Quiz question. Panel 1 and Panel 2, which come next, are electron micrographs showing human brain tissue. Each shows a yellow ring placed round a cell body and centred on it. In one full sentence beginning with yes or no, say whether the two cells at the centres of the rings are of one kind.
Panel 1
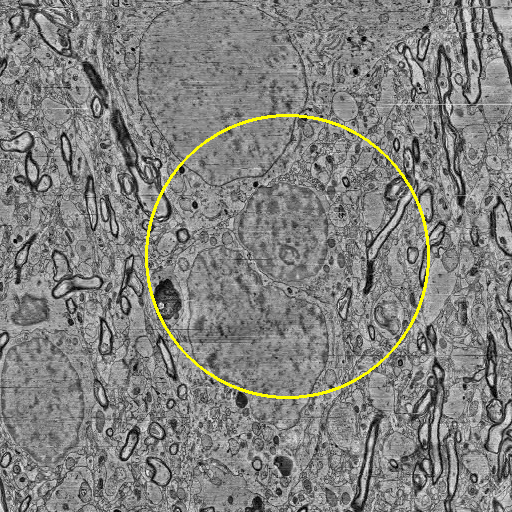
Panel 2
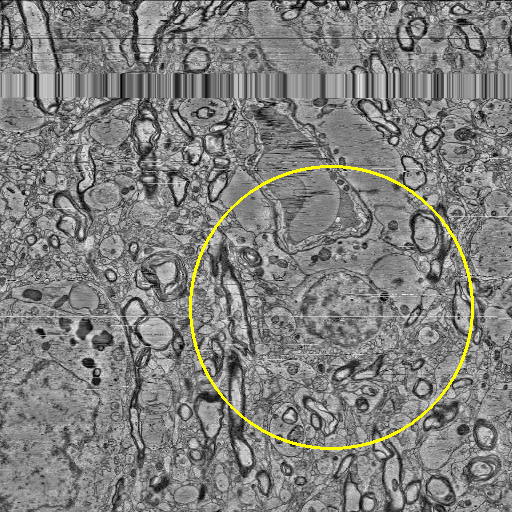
Yes, Panel 1 and Panel 2 show one kind of cell at the centre of the ring.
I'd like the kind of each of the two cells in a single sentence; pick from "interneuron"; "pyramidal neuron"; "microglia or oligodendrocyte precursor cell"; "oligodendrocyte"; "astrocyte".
Both pictures show an oligodendrocyte at the centre of the ring.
